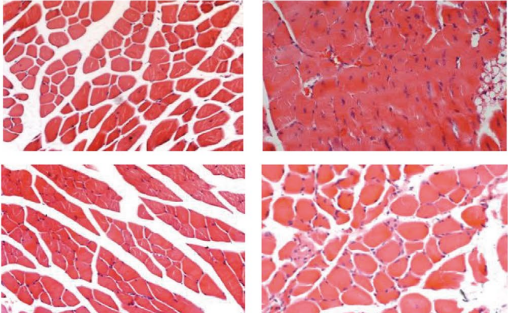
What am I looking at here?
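These are four sections of skeletal muscle stained pink, with the nuclei dark purple. In the two left images the myofibres are cut across or obliquely as pink polygons of varying size, separated by thin white clefts, with only a few nuclei, which sit at the fibre edges. The upper right image looks quite different: the fibres are tightly packed, their borders are hard to make out, and many purple nuclei lie scattered within the fibres rather than at their margins. A pale, bubbly area runs along its right edge. In the lower right image the fibres are rounder and more widely separated by white spaces, and nuclei lie mostly between the fibres and at their edges. Nuclei lying inside the fibres are the usual sign of regenerating myofibres in injured muscle.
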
